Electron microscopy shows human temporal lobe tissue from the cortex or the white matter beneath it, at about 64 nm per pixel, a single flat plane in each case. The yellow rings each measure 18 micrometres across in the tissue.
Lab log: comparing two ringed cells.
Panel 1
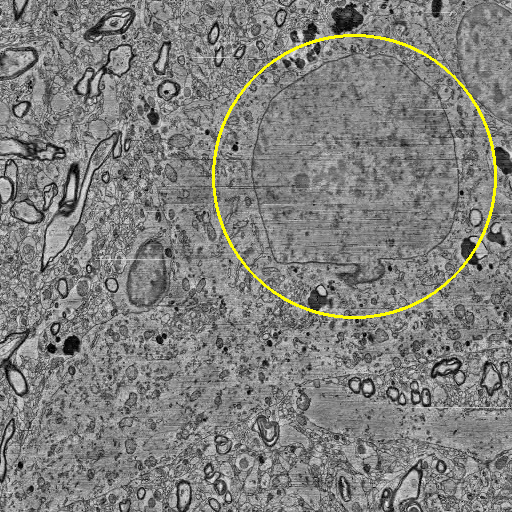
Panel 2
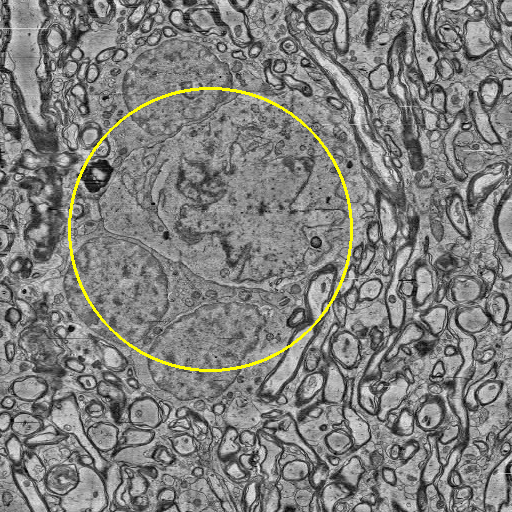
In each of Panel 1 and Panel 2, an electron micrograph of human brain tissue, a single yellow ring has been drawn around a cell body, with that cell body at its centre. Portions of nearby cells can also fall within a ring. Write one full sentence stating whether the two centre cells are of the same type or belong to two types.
The cells at the ring centres in Panel 1 and Panel 2 belong to two types.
